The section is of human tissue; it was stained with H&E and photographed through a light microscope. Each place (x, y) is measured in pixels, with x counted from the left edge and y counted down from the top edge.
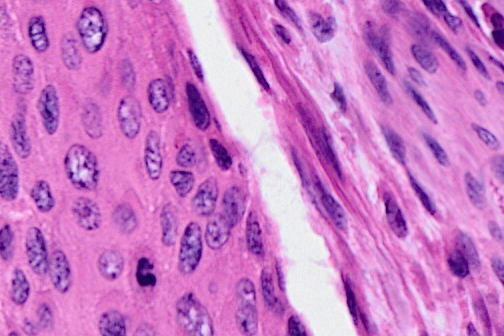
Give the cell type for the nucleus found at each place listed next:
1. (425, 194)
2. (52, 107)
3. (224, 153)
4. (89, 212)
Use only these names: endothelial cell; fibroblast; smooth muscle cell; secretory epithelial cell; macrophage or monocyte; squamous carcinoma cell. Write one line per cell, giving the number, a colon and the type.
1: fibroblast
2: squamous carcinoma cell
3: squamous carcinoma cell
4: squamous carcinoma cell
